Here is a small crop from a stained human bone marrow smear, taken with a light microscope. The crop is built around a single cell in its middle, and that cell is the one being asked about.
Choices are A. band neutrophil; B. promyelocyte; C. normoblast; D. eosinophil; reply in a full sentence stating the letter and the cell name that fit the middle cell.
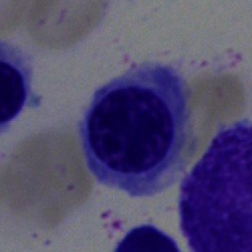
The cell centred in the crop is a normoblast, and the correct option is thus C.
